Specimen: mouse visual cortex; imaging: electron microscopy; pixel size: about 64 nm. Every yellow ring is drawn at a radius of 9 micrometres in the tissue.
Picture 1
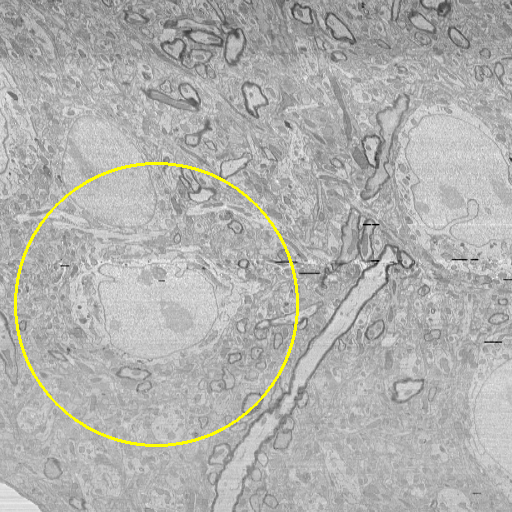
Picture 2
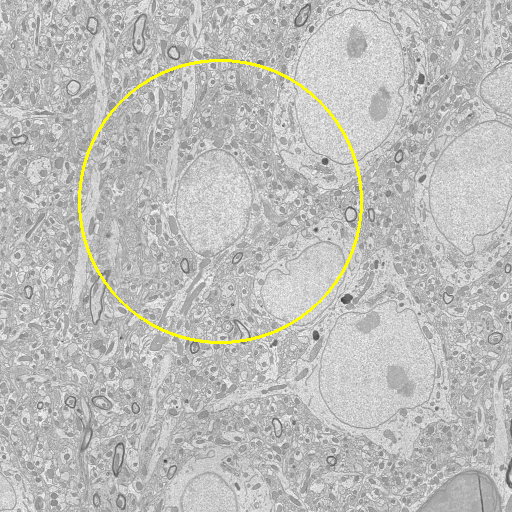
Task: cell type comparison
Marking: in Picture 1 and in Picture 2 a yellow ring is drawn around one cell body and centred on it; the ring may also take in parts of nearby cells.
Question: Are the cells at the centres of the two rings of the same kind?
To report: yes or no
no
